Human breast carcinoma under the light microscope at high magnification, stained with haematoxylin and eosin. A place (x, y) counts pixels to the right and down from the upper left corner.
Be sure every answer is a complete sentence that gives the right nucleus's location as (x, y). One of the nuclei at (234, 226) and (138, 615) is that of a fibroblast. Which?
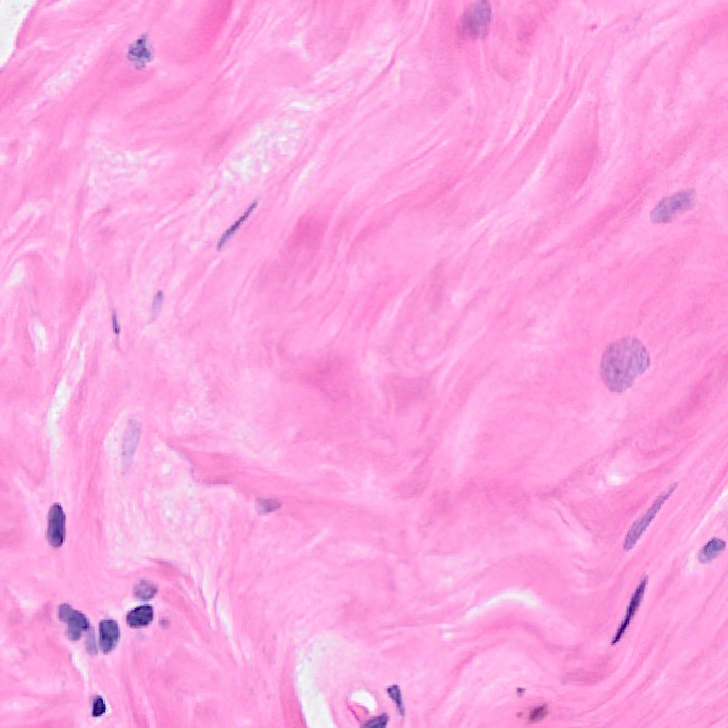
Housed in a fibroblast is the nucleus at (234, 226), not the other one.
